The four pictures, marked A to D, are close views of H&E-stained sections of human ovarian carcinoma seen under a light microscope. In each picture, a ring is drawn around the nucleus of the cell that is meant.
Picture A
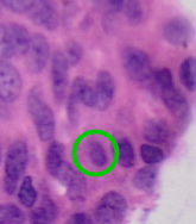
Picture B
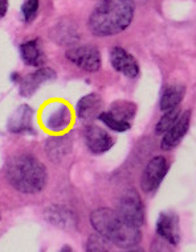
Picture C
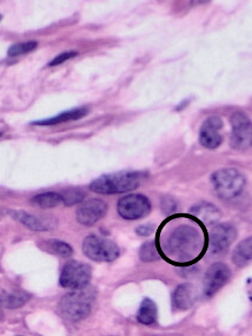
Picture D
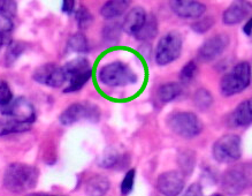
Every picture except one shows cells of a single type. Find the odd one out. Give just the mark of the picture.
D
